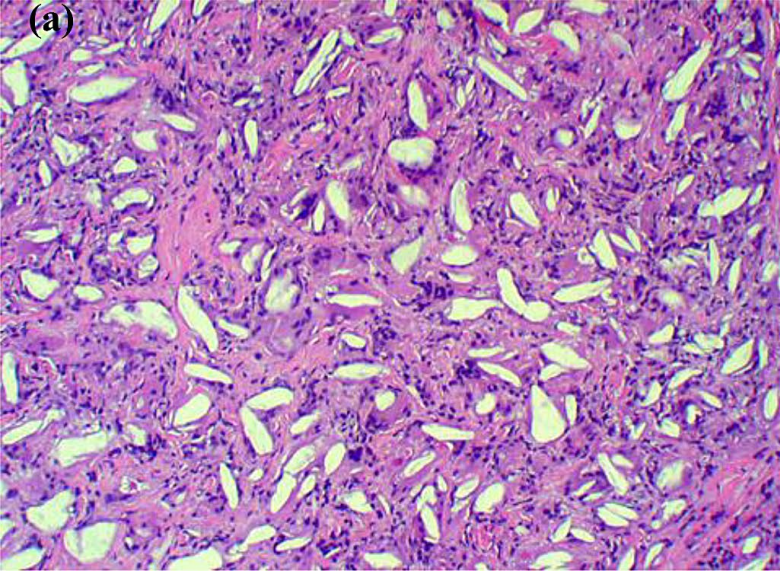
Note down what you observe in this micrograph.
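This is a granulomatous reaction of epithelioid macrophages and multinucleated giant cells packed among numerous spindle-shaped spaces. The clear spaces are elongated and tapered at both ends, varying in size and lying in many directions across the field. Between them lie cells with pale pink cytoplasm and oval purple nuclei, along with fibrous pink strands. Large cells with several nuclei and abundant pink cytoplasm press against the edges of some spaces. Scattered small dark nuclei of other inflammatory cells are mixed through the tissue.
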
